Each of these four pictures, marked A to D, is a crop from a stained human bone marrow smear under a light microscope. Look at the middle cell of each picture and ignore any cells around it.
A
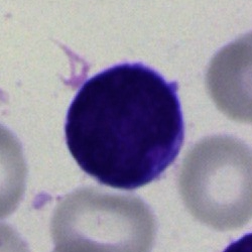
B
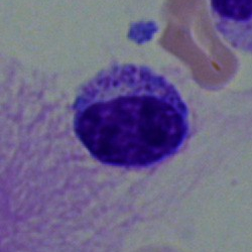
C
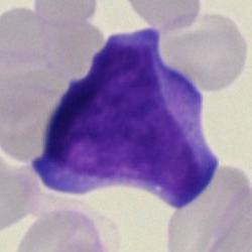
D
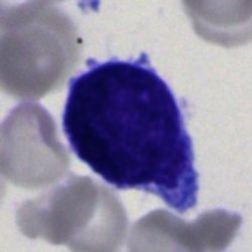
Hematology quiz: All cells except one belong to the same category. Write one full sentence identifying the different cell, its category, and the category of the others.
Although the other crops all show blasts, crop B shows a myelocyte.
